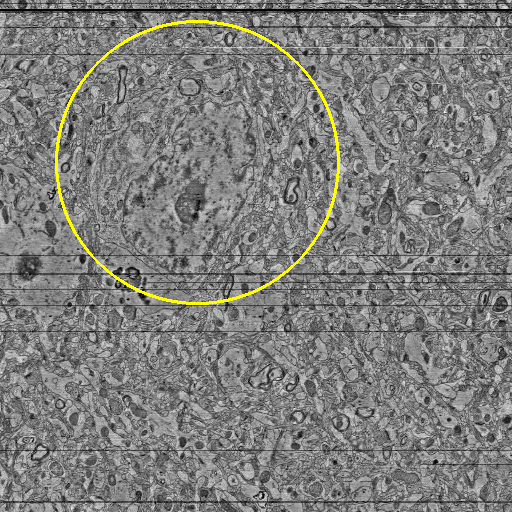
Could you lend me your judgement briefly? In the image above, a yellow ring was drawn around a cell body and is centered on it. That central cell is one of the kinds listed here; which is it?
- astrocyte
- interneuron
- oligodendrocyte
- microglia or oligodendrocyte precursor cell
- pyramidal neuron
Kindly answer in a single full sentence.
Going by the list, an interneuron is the kind at the ring's center in the picture.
